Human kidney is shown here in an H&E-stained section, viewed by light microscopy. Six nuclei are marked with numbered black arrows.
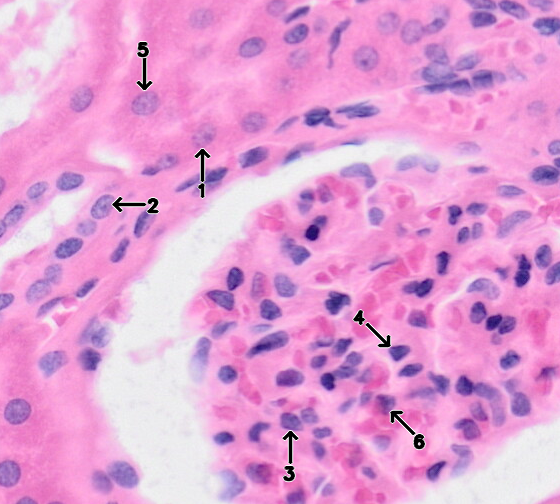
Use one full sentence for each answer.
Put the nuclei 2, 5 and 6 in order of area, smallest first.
By area, going up from the smallest, they rank 6, 2, 5.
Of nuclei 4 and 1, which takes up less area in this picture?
With nucleus 1 about 1.5 times its size, nucleus 4 is the smaller of the two.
